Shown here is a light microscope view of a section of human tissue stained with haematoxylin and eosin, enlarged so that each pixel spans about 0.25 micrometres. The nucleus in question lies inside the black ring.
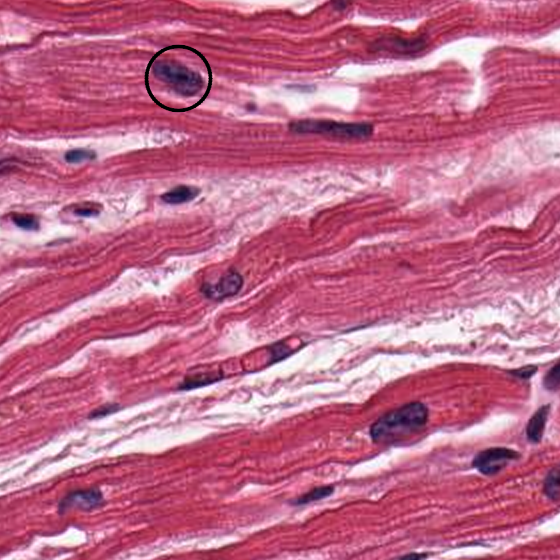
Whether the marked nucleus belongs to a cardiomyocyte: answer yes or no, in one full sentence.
Yes, the marked nucleus, as shown, belongs to a cardiomyocyte.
